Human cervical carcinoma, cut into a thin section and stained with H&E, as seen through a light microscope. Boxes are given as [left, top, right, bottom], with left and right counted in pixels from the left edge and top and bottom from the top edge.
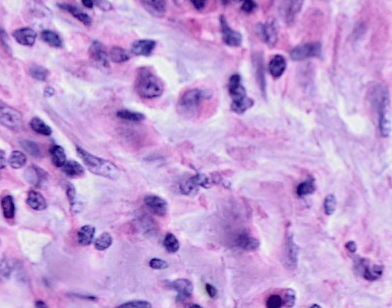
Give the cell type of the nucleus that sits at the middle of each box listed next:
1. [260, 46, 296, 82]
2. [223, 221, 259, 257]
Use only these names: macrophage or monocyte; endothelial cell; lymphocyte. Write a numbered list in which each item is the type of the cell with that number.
1. lymphocyte
2. macrophage or monocyte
